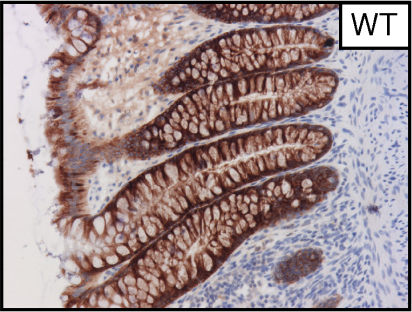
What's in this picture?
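Colonic mucosa with elongated crypts cut lengthwise, lined by a single layer of columnar epithelium whose cytoplasm stains strongly brown. Numerous pale, rounded goblet cell vacuoles sit between the stained cells along the crypt walls. Loose stroma with blue nuclei fills the spaces between crypts.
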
